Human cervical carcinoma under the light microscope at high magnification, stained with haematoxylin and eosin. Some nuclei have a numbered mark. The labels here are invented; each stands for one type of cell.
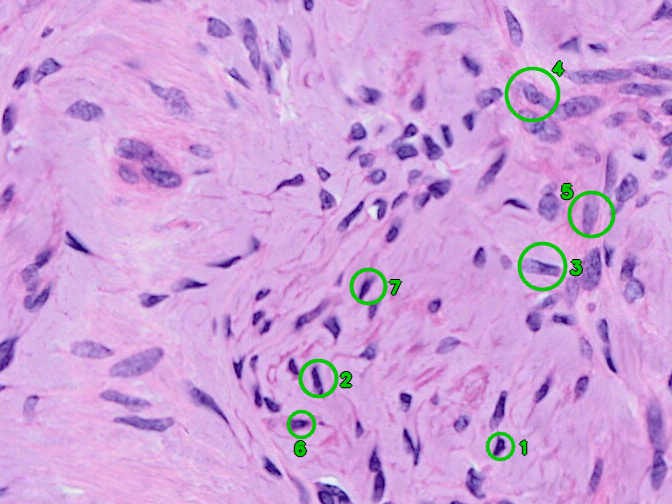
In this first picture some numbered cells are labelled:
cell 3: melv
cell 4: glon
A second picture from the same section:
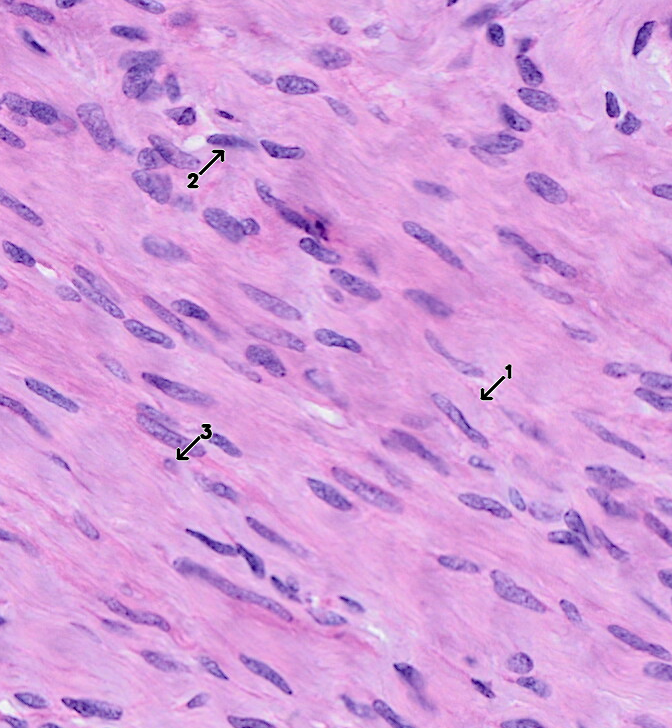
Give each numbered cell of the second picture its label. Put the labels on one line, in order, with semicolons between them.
glon; melv; glon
